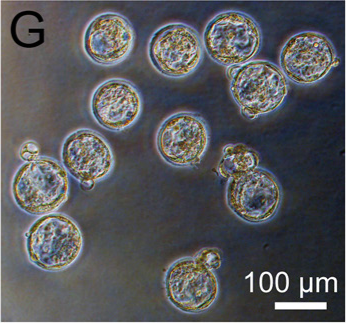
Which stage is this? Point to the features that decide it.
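Many spherical embryos each surrounded by a thin clear shell.
Conclusion: blastocysts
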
